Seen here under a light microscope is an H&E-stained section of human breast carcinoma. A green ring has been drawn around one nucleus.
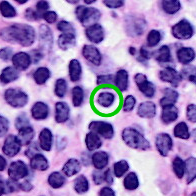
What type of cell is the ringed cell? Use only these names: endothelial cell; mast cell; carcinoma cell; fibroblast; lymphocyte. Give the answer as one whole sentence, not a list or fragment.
Microscopically, the ringed cell is categorized as a lymphocyte.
